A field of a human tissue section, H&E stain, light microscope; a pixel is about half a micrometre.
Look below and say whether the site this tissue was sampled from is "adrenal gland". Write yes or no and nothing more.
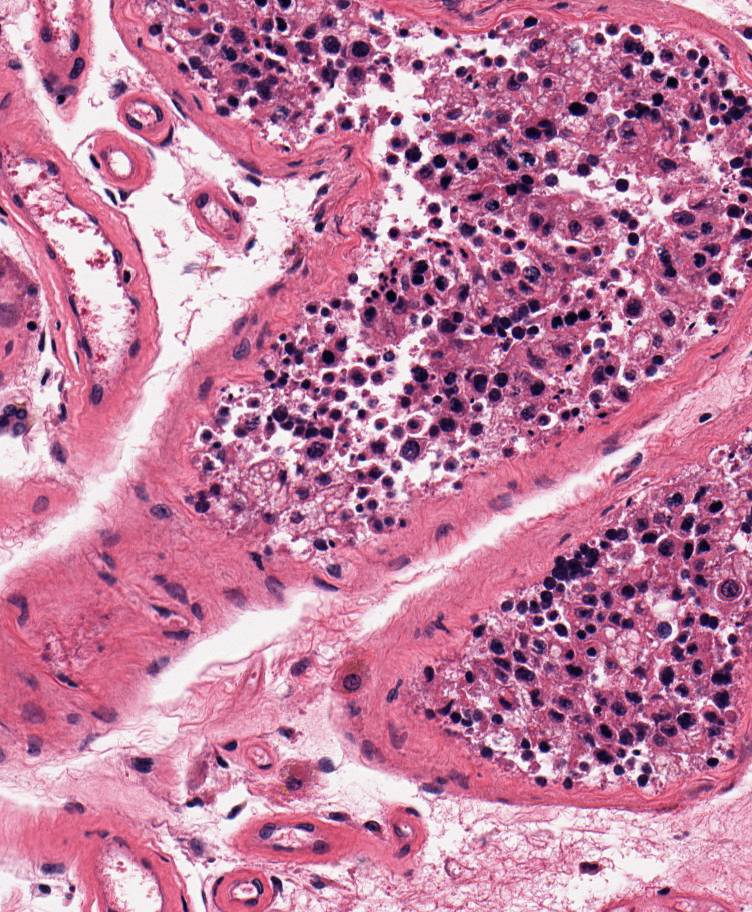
no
